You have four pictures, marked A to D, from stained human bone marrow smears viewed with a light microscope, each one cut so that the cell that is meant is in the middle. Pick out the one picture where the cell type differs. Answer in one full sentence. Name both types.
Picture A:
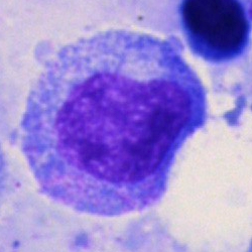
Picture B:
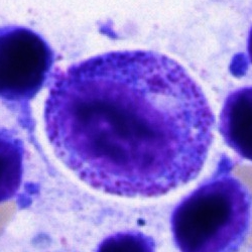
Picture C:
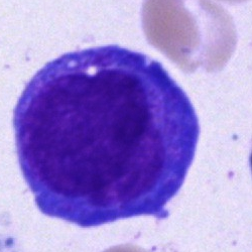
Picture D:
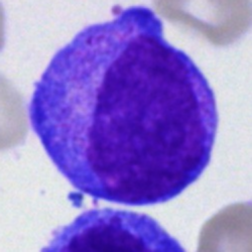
Picture C is the odd one out: it shows a blast, while the others show promyelocytes.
